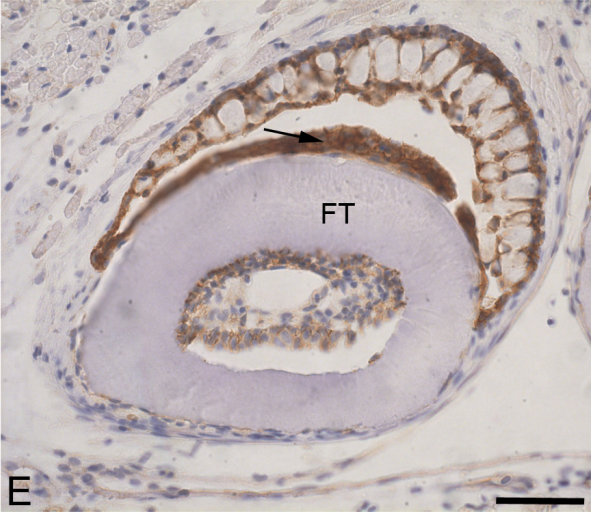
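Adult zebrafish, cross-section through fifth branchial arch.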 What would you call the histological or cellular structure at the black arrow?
Reduced enamel organ.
